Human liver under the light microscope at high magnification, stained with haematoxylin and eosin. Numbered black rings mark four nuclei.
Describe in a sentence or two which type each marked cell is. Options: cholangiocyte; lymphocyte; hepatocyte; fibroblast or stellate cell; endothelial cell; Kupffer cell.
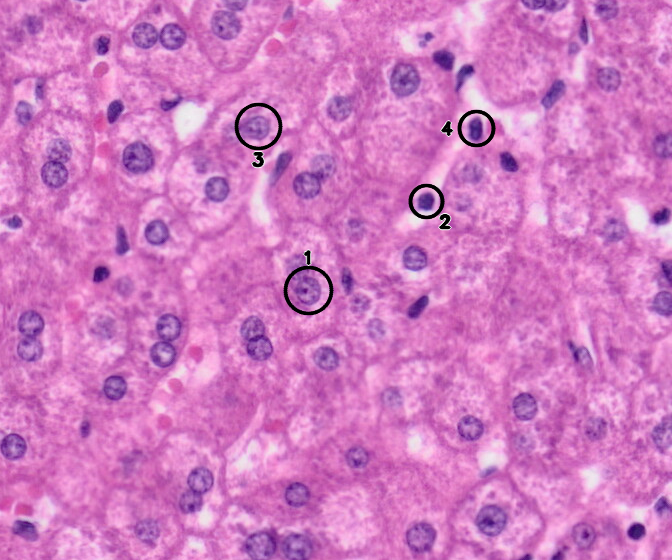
Cells 1 and 3 are hepatocytes. Cells 2 and 4 are lymphocytes.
